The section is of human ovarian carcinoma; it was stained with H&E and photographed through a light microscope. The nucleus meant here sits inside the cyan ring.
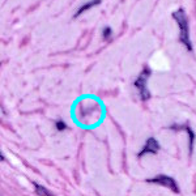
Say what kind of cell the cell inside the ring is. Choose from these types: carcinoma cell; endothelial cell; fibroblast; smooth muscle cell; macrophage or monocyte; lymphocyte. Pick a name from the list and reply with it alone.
fibroblast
